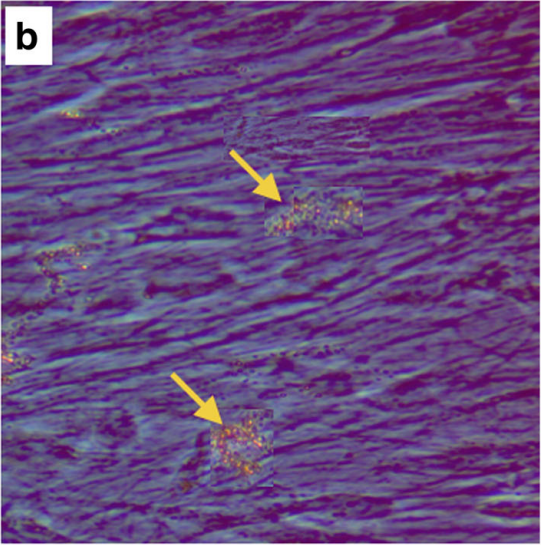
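The background is a confluent layer of long, spindle-shaped cells aligned in a common direction, giving a streaked, wavy texture in purplish tones. Scattered in this sheet are a few small, compact clusters of tiny round orange-yellow droplets, each cluster occupying only a small area. Outside these clusters a few isolated fine dark dots are sprinkled over the cell layer, but most of the cells show no droplets.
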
